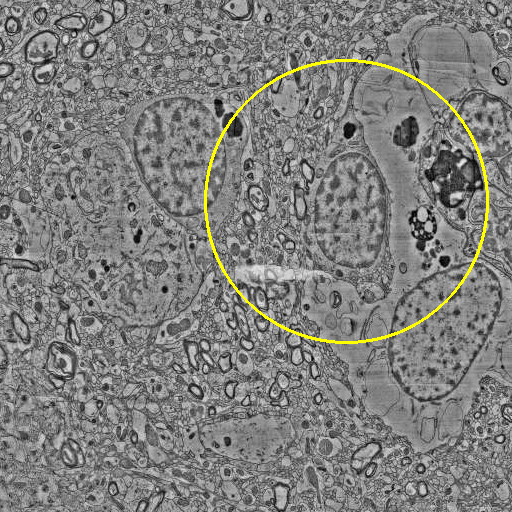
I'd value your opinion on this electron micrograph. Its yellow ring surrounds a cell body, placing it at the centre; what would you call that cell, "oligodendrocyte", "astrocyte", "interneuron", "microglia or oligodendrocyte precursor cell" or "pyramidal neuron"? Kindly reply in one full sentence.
It is an oligodendrocyte that sits centred within the yellow ring in this micrograph.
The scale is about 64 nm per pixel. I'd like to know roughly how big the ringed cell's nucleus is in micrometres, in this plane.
Approximately 7 by 5 micrometers, which makes the nucleus clearly longer than it is wide in this plane.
